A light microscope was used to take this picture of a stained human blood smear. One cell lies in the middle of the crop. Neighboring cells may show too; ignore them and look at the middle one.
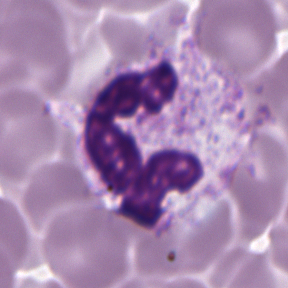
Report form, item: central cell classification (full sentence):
The cell at the middle of the crop is recognized as a segmented neutrophil.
